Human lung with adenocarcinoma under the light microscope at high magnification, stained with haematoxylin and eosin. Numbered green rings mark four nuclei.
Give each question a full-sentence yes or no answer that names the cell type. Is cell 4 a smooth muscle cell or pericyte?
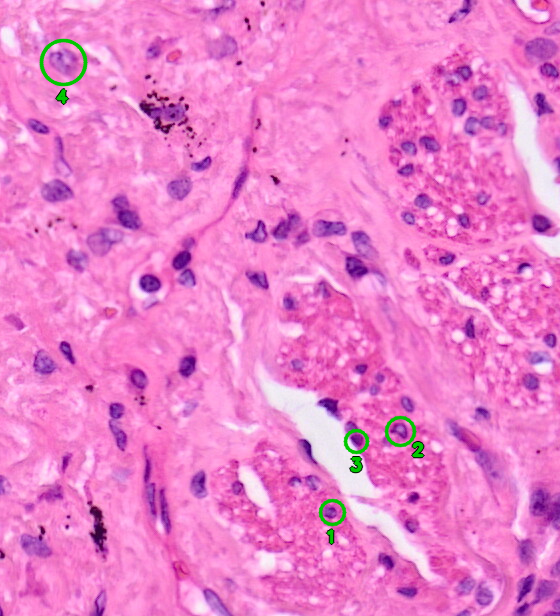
No, as for cell 4, it is a fibroblast and not a smooth muscle cell or pericyte.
